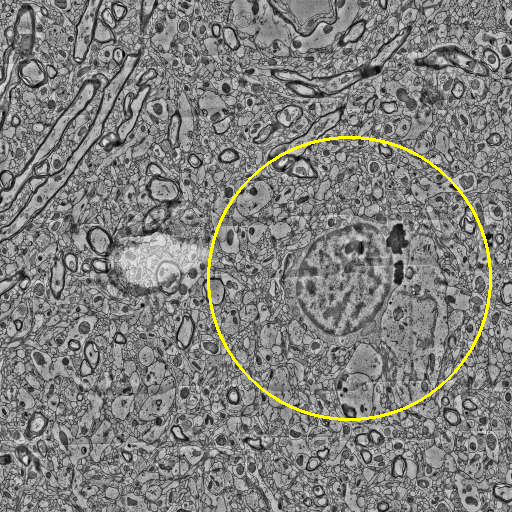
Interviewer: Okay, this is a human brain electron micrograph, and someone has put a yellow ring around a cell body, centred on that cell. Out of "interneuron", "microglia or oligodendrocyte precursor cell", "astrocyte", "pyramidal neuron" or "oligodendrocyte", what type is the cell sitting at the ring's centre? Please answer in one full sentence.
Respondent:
The cell at the centre of the yellow ring in this picture is an oligodendrocyte.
